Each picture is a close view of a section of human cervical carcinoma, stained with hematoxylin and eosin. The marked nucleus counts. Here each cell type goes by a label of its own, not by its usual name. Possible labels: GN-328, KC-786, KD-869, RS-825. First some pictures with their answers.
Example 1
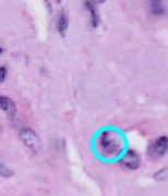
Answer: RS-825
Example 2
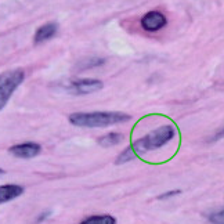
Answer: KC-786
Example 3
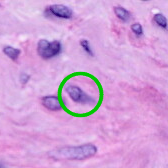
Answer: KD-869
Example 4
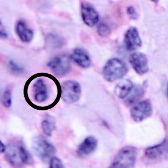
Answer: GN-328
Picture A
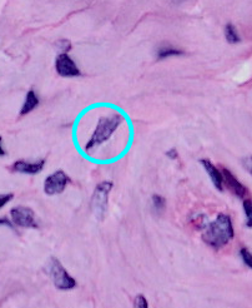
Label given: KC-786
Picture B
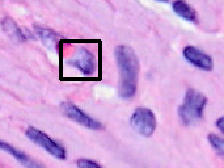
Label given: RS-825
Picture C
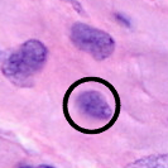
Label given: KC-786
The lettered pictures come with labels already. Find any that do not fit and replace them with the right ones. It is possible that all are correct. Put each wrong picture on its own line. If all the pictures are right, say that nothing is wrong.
None of the labels needs changing.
